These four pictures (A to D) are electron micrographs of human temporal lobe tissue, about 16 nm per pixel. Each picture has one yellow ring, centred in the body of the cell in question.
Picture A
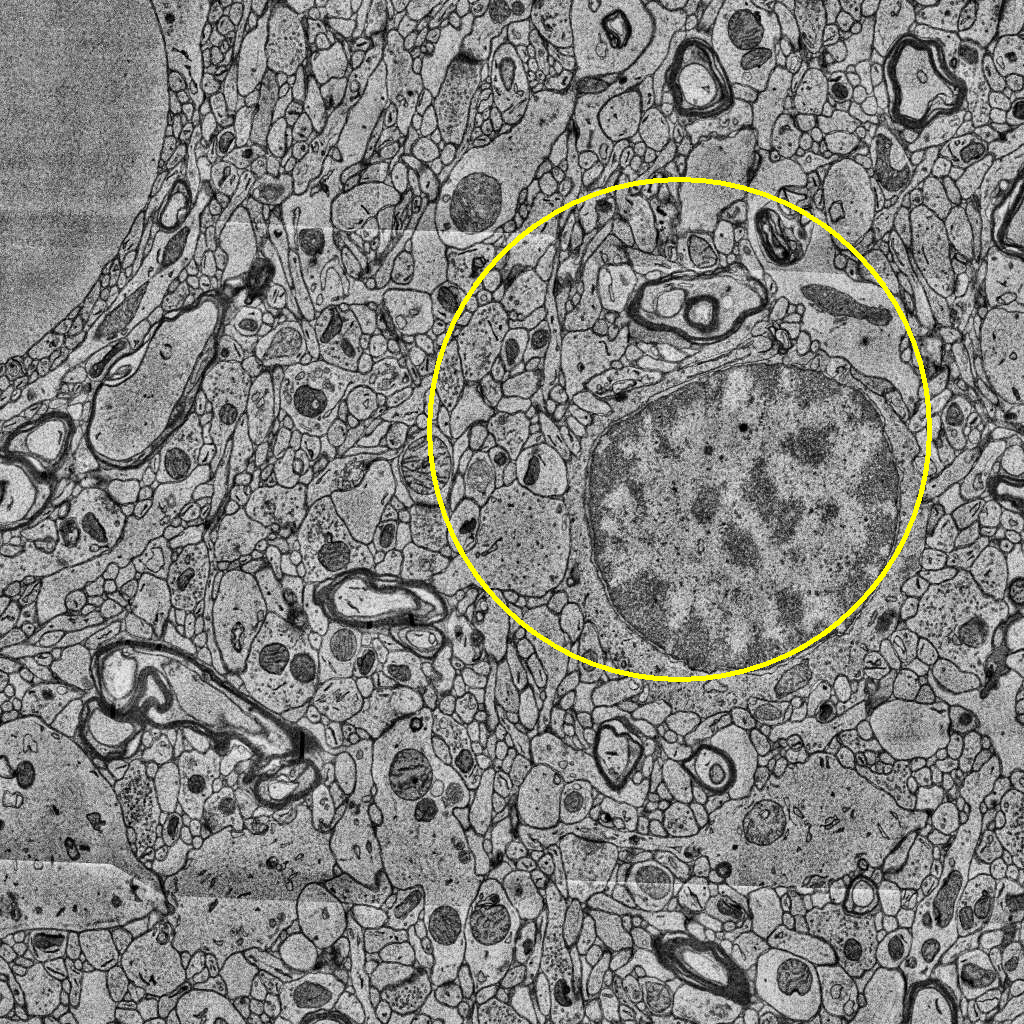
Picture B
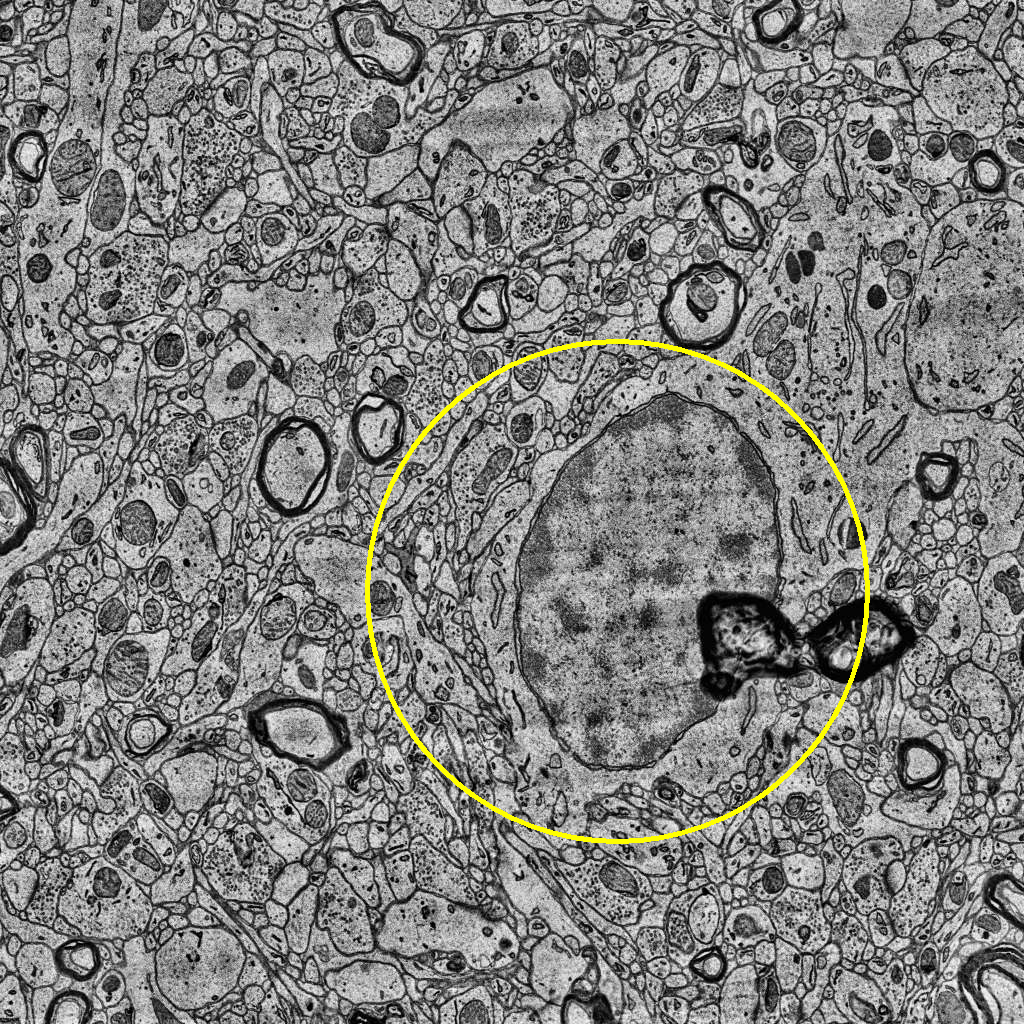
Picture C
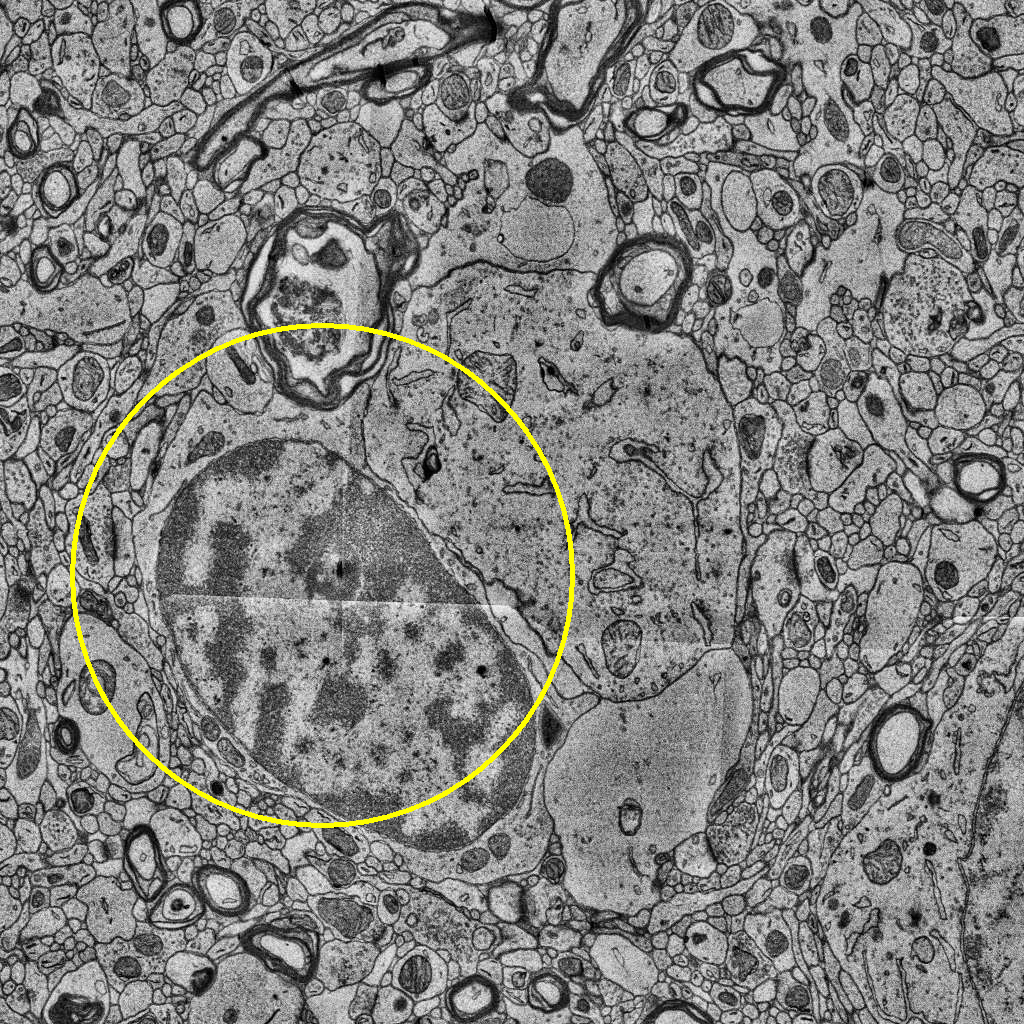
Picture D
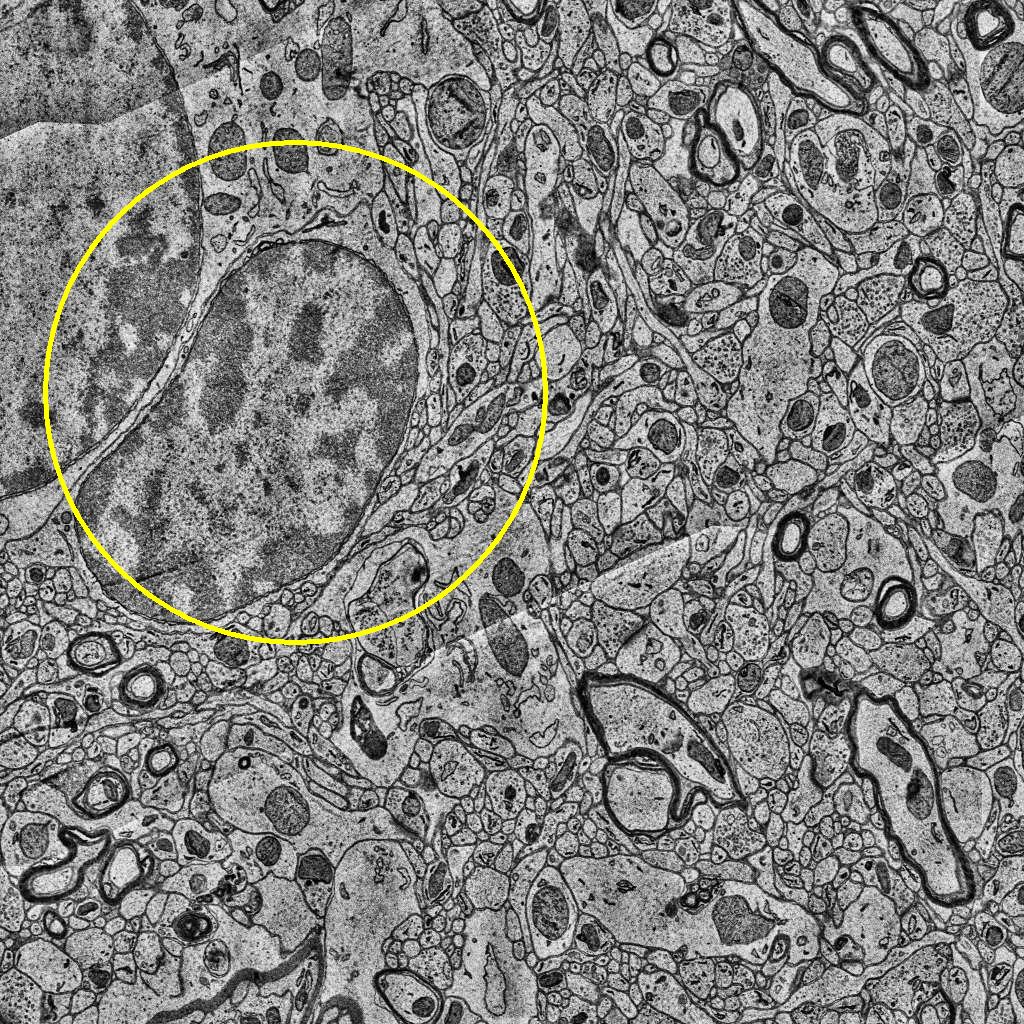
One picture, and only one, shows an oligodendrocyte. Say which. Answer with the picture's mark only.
A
